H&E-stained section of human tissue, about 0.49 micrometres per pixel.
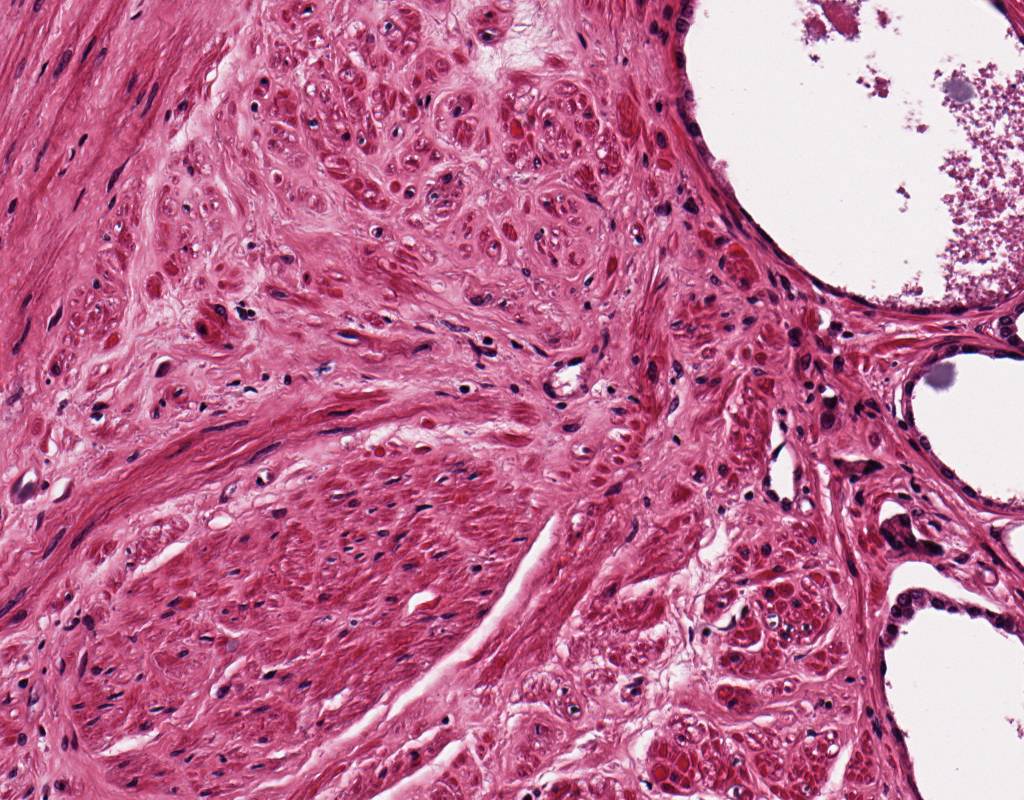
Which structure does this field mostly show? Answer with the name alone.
fibromuscular stroma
